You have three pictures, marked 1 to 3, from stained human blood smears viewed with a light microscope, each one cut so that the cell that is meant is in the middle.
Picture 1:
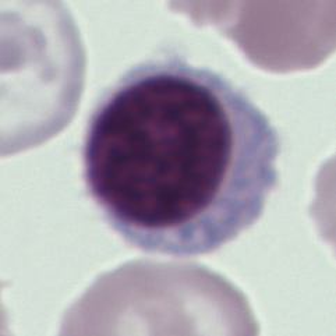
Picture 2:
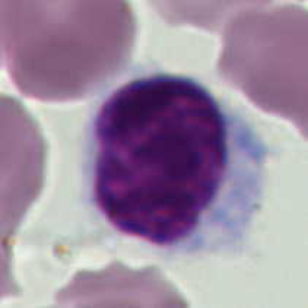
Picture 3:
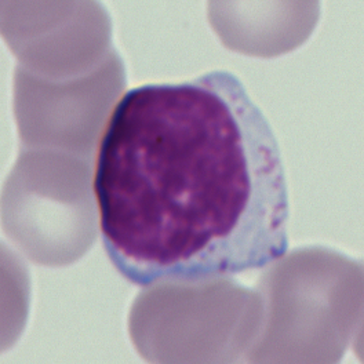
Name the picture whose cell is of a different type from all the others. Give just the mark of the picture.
3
